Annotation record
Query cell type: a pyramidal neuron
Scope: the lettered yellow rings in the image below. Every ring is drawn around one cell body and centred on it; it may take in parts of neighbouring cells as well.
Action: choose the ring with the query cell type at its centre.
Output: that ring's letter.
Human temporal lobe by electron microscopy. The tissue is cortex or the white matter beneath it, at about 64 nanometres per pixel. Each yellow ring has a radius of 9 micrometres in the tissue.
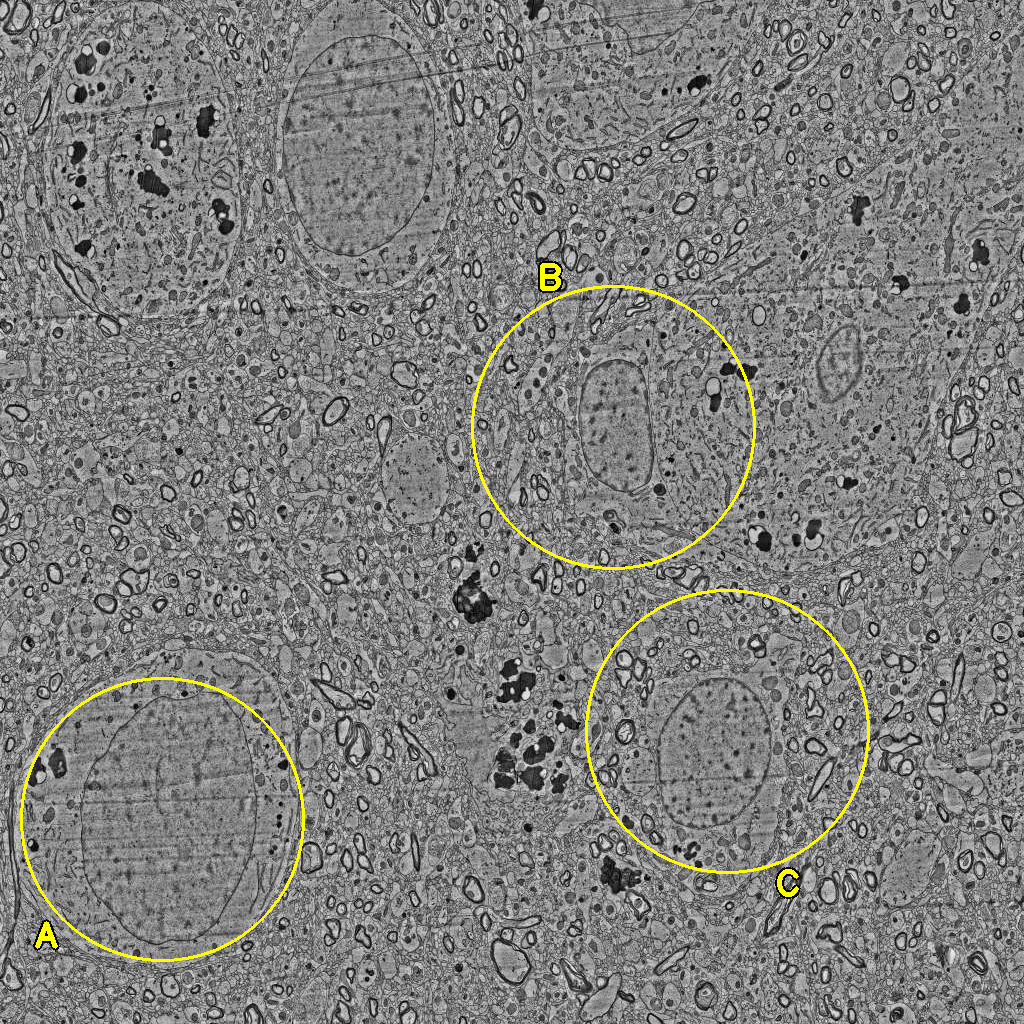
A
